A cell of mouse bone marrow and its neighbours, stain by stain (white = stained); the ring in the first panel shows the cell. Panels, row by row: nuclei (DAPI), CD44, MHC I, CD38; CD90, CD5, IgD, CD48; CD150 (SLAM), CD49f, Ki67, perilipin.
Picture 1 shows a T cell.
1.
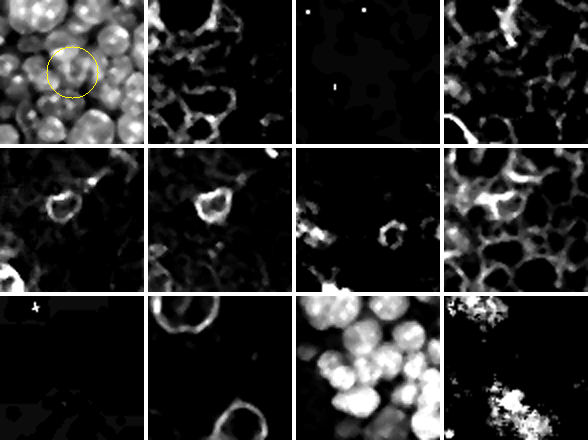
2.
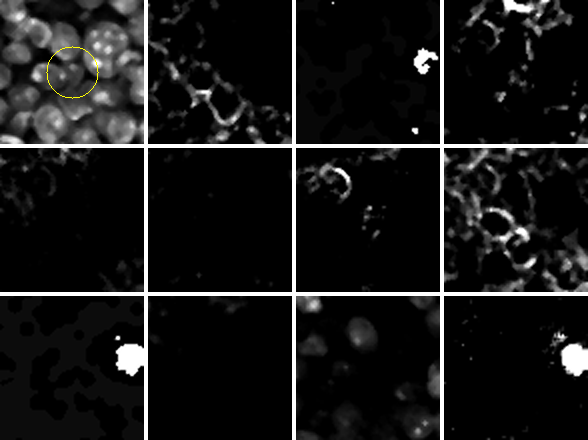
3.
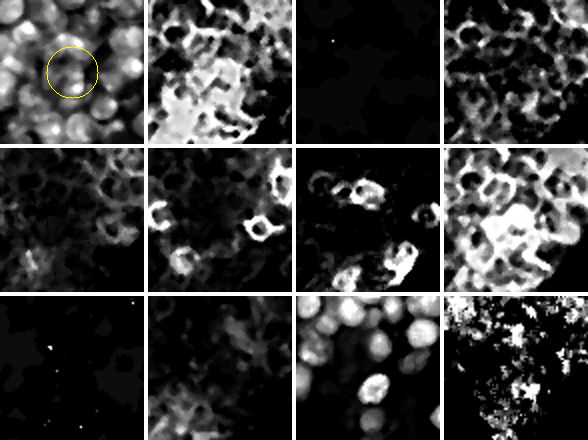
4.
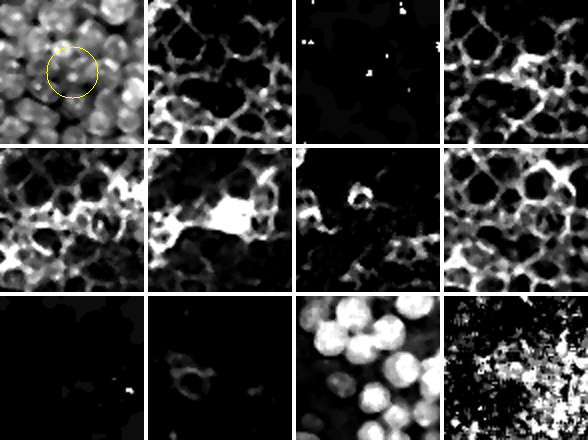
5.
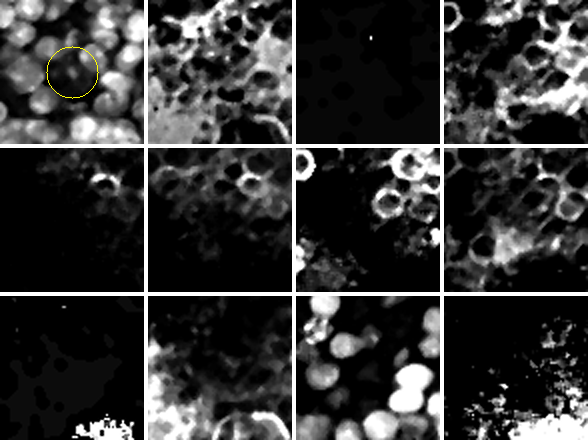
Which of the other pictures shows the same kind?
Picture 4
